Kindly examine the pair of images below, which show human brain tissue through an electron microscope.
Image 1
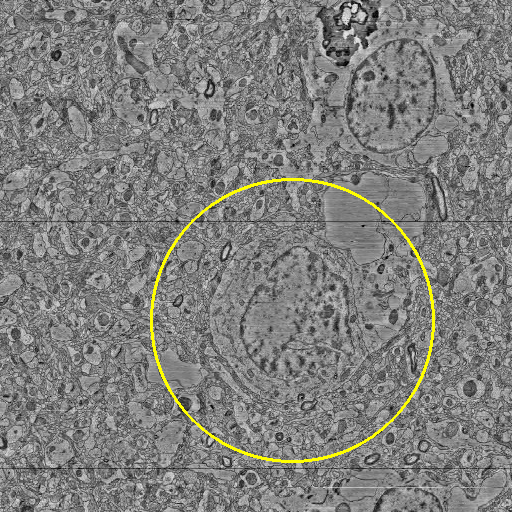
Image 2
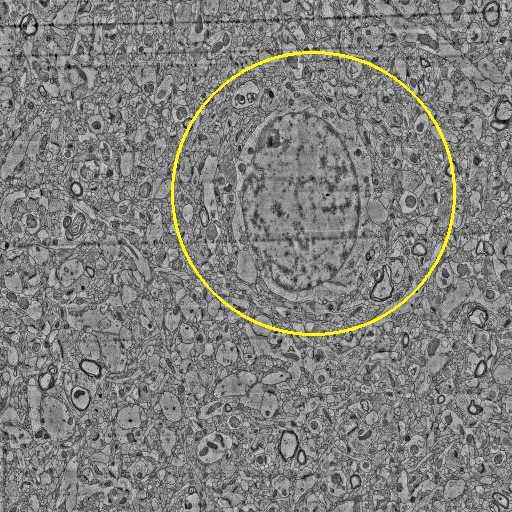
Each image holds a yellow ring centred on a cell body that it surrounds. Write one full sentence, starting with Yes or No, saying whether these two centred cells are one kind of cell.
Yes, both cells at the centres of the yellow rings belong to one kind of cell.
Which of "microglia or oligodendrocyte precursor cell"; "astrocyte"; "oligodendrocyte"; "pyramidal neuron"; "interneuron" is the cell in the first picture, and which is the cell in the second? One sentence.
The ring centre holds an interneuron in each of the two pictures.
